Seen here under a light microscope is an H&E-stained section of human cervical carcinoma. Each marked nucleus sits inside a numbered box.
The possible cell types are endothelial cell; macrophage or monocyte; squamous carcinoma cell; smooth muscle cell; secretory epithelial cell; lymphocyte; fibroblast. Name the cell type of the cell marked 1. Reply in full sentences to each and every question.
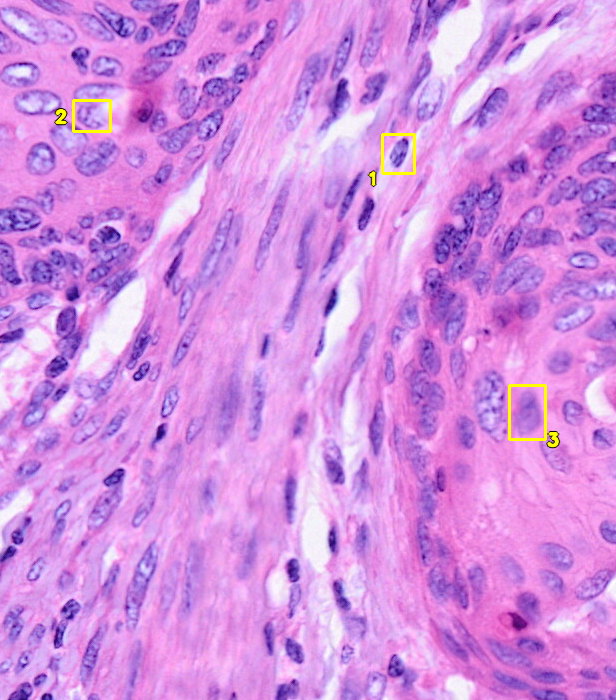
The mark numbered 1 indicates the nucleus of a lymphocyte.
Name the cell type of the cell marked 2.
The cell numbered 2 represents a squamous carcinoma cell.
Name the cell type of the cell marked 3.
Cell 3 in the field of view is a squamous carcinoma cell.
